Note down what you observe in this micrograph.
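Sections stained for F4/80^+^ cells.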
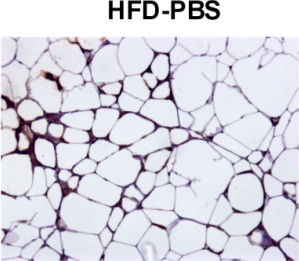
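Large, clear, rounded fat cells of very varied size are separated by thin membranes. Dark brownish-purple stained small cells and strands are gathered in the spaces between the fat cells, most densely toward the left side. This is adipose tissue with stained small cells lying among the adipocytes.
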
